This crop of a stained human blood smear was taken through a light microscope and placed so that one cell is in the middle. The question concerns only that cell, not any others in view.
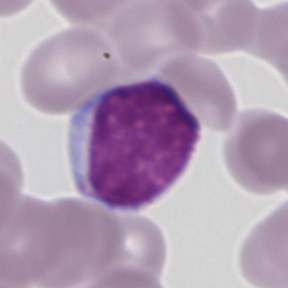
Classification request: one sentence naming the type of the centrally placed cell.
The middle cell in this particular crop is a large granular lymphocyte.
